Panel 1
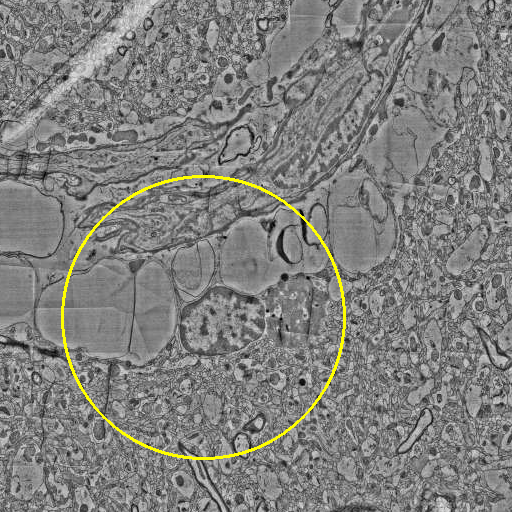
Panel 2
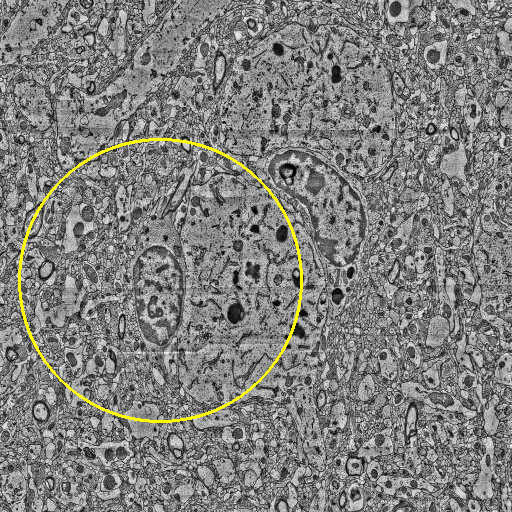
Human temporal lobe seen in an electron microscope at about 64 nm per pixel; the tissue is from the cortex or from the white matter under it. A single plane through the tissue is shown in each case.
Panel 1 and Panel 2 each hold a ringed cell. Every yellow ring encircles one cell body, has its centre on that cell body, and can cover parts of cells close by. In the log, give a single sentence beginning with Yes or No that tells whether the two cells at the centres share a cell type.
No, in Panel 1 and Panel 2 the centred cells are of two cell types.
